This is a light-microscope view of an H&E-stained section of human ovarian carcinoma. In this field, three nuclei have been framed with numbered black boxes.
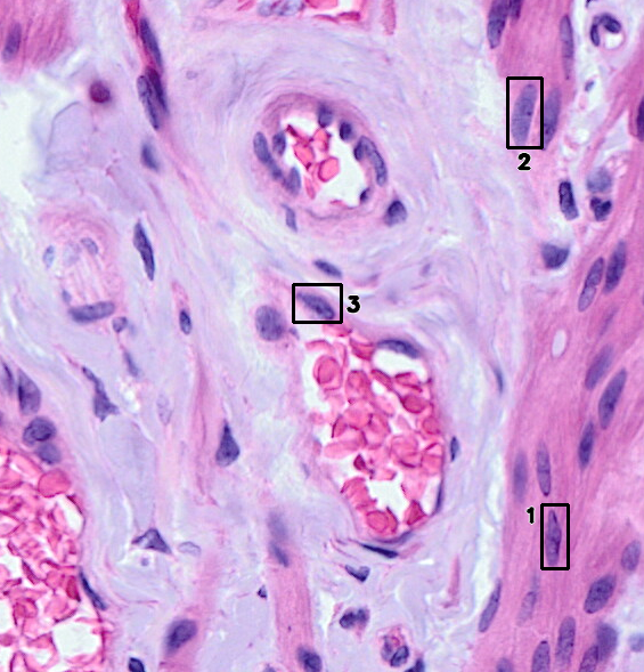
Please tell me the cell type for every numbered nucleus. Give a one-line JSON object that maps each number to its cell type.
{"1": "smooth muscle cell", "2": "smooth muscle cell", "3": "endothelial cell"}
